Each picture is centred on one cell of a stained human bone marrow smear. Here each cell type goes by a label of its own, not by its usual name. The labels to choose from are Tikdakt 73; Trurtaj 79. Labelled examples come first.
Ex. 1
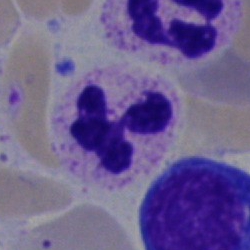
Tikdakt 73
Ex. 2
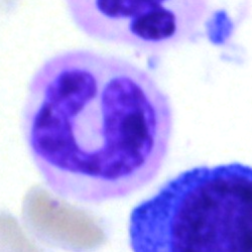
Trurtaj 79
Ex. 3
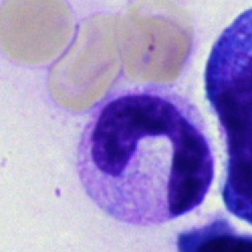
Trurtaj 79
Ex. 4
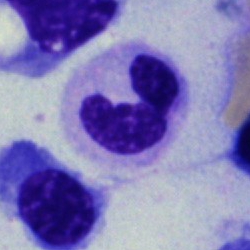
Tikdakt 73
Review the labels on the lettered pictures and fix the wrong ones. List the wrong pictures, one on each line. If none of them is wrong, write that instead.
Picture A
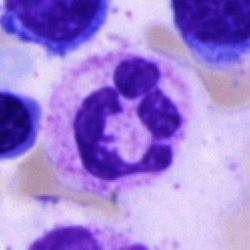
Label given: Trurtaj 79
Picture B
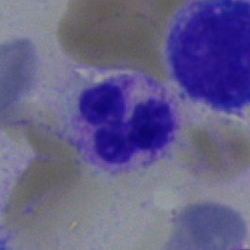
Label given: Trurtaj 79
A should be Tikdakt 73, not Trurtaj 79
B should be Tikdakt 73, not Trurtaj 79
